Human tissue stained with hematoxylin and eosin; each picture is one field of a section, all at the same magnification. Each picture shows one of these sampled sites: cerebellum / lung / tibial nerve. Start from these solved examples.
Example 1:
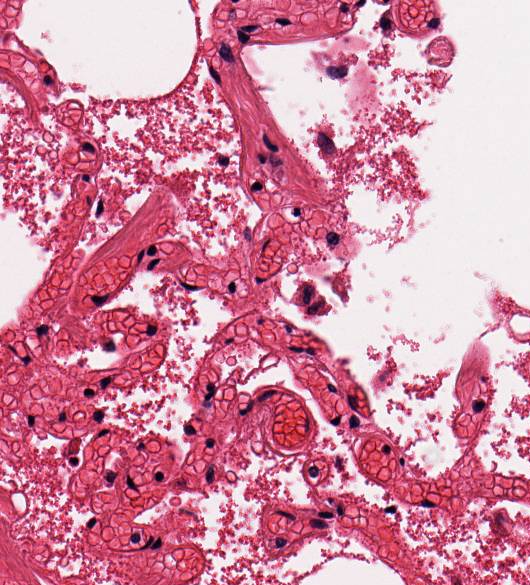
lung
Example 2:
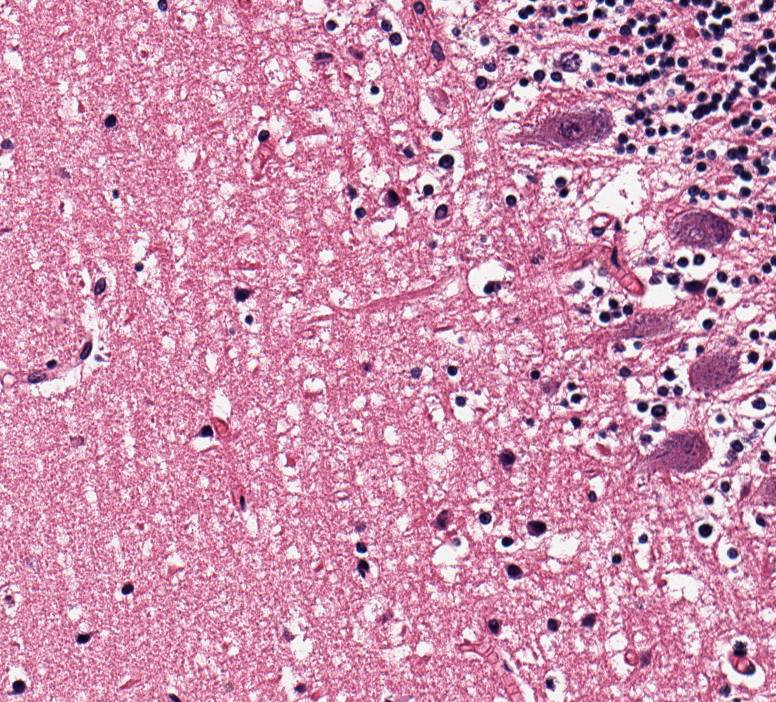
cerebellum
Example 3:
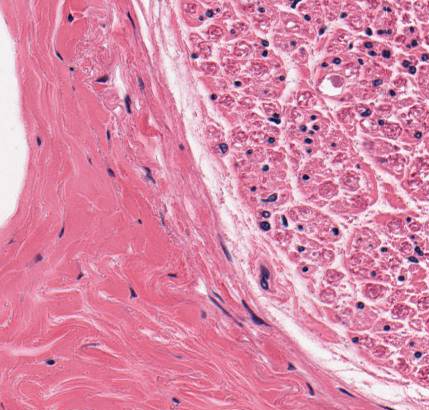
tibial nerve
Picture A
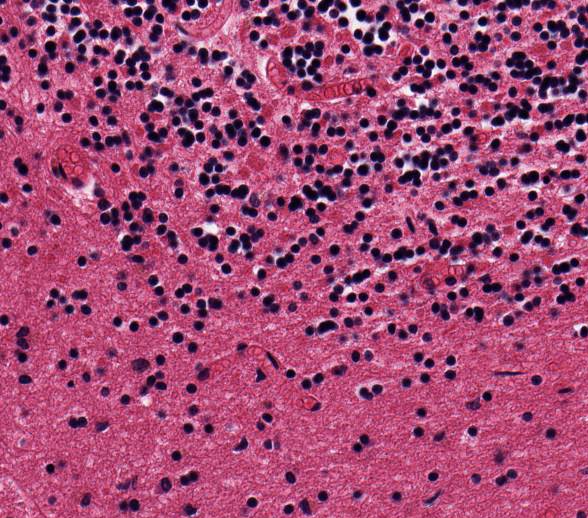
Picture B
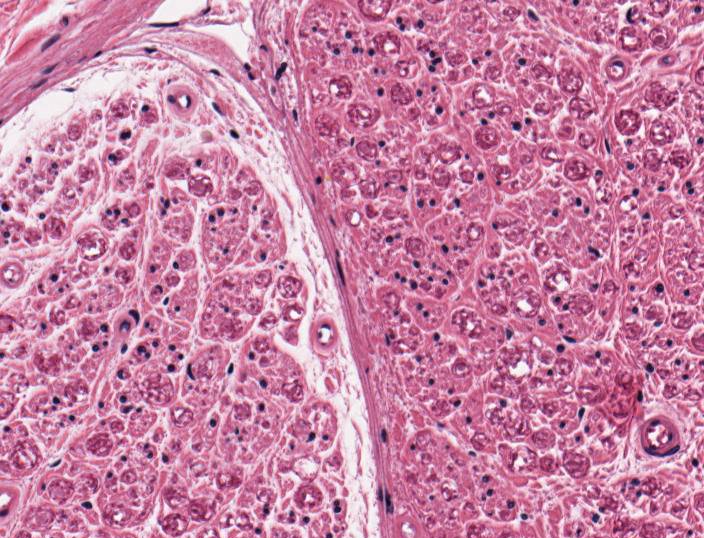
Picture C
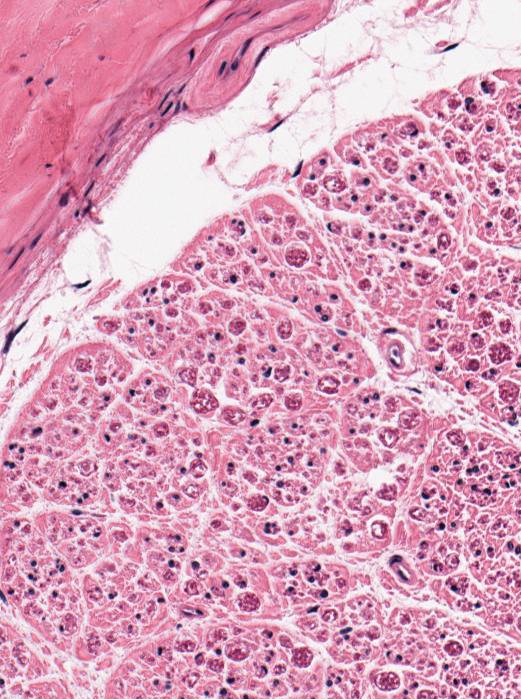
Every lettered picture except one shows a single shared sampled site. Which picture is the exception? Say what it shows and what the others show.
A: cerebellum; all the others: tibial nerve.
